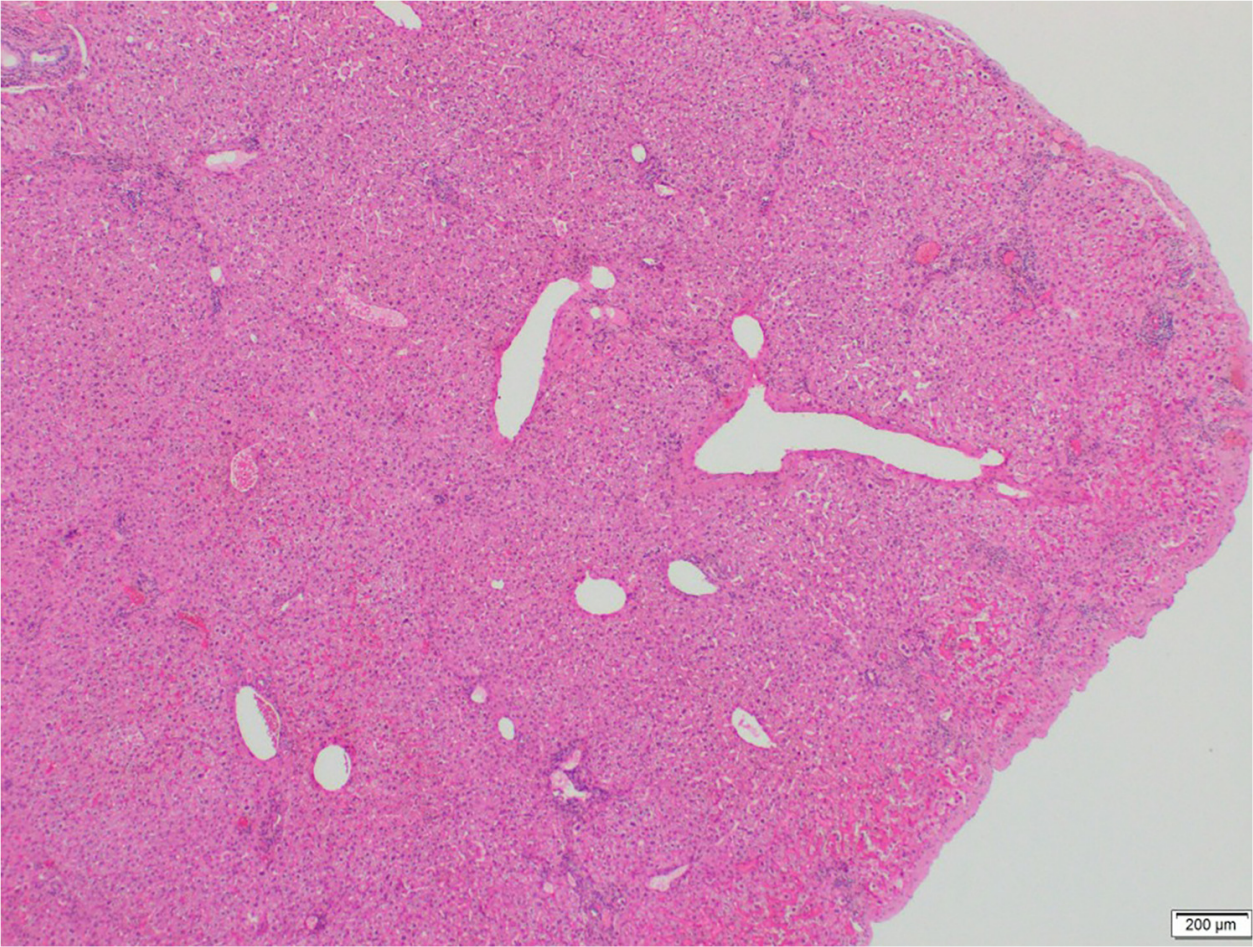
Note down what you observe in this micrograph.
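A low-power section of liver parenchyma made of pink-staining hepatocytes in broad, uniform sheets, with no nodules or bands of scarring breaking them up. Numerous empty round to branching vascular lumina are scattered through the tissue, and small purple foci of connective tissue with small vessels, the portal regions, are spaced among them.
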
